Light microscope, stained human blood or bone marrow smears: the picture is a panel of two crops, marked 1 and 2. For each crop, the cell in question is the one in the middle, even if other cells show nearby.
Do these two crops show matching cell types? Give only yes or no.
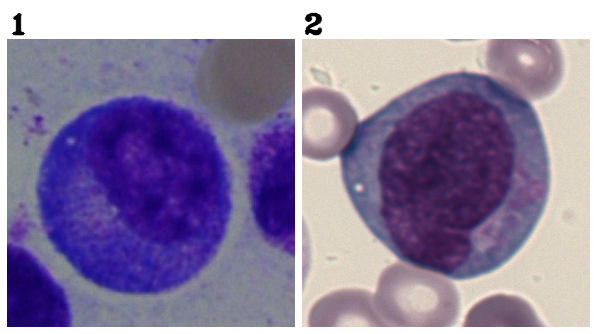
yes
